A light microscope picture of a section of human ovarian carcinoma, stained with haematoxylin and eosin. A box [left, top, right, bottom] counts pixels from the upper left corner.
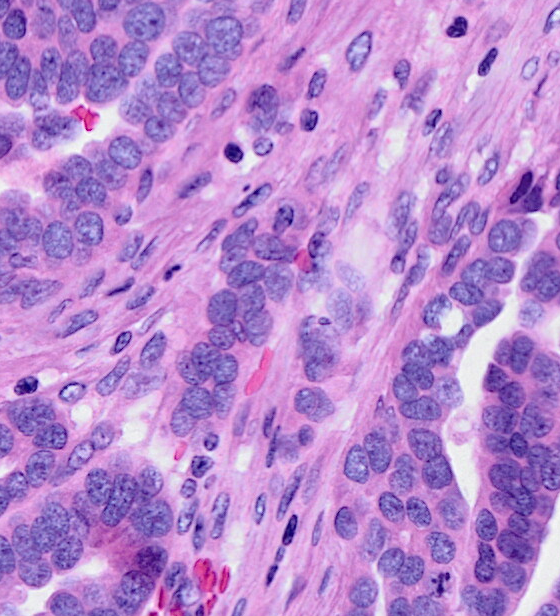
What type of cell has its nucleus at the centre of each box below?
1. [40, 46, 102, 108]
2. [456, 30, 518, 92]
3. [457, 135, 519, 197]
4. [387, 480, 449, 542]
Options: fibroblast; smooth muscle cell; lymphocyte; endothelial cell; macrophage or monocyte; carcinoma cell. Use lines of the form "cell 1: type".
cell 1: carcinoma cell
cell 2: lymphocyte
cell 3: fibroblast
cell 4: carcinoma cell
